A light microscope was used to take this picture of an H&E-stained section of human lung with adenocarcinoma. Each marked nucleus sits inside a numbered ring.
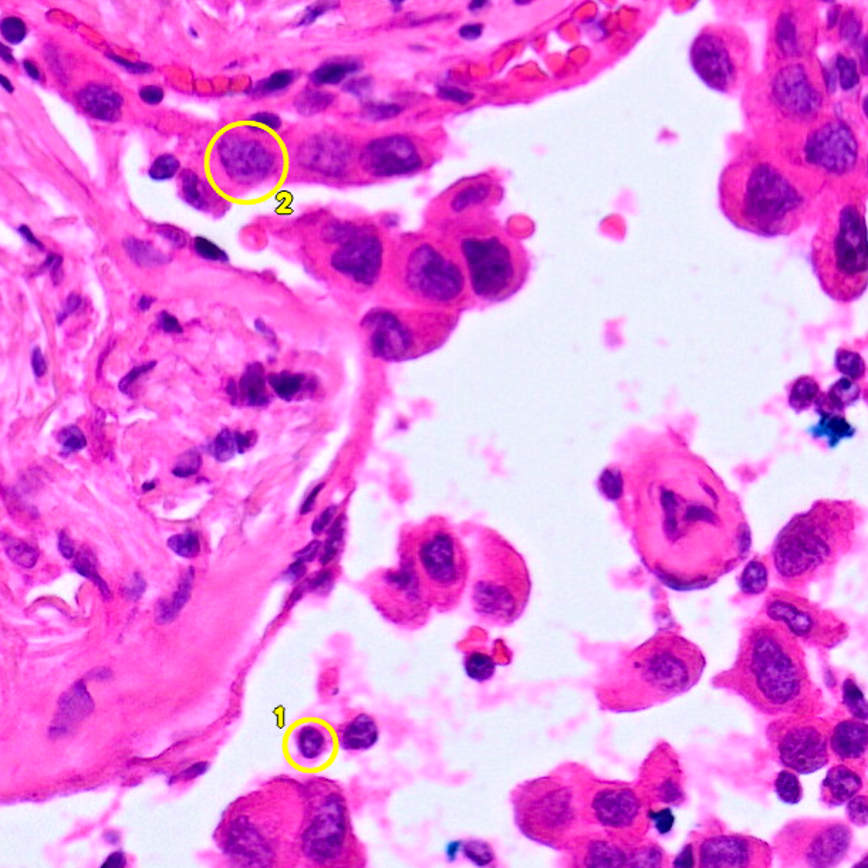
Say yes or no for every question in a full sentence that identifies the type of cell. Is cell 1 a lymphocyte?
Yes, the cell identified as number 1 is a lymphocyte.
